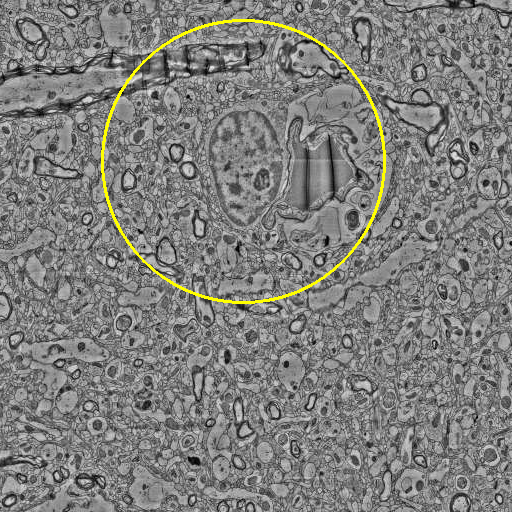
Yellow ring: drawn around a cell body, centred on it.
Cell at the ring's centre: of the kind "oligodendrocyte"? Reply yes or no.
yes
